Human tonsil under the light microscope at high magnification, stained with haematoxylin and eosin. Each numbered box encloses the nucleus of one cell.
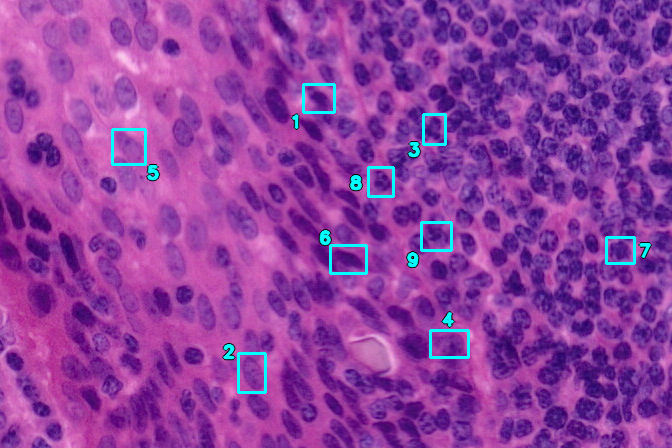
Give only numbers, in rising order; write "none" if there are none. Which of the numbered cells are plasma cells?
8, 9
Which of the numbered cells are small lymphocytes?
3, 7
